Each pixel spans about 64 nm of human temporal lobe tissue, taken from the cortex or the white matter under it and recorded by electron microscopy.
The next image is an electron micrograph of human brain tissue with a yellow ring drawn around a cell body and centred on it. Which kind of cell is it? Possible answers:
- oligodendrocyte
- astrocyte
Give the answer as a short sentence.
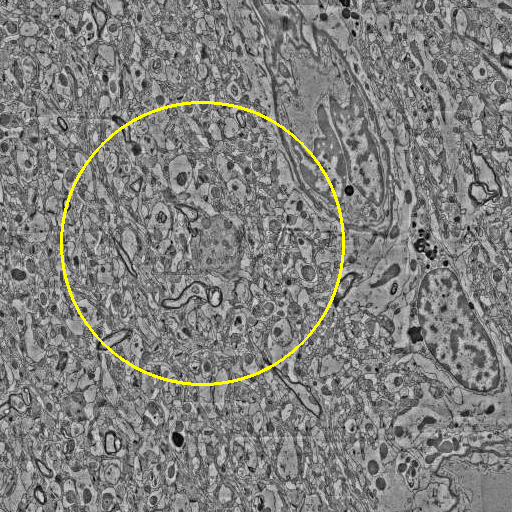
In the ring's centre is an oligodendrocyte.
